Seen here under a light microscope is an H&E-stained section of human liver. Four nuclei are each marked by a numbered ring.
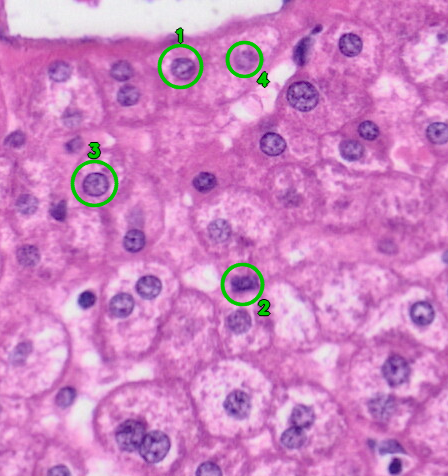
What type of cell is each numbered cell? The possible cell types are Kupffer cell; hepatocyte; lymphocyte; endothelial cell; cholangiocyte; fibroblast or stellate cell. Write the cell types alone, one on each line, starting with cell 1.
hepatocyte
fibroblast or stellate cell
hepatocyte
hepatocyte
